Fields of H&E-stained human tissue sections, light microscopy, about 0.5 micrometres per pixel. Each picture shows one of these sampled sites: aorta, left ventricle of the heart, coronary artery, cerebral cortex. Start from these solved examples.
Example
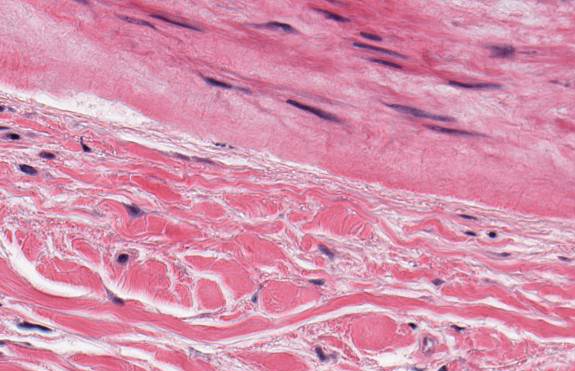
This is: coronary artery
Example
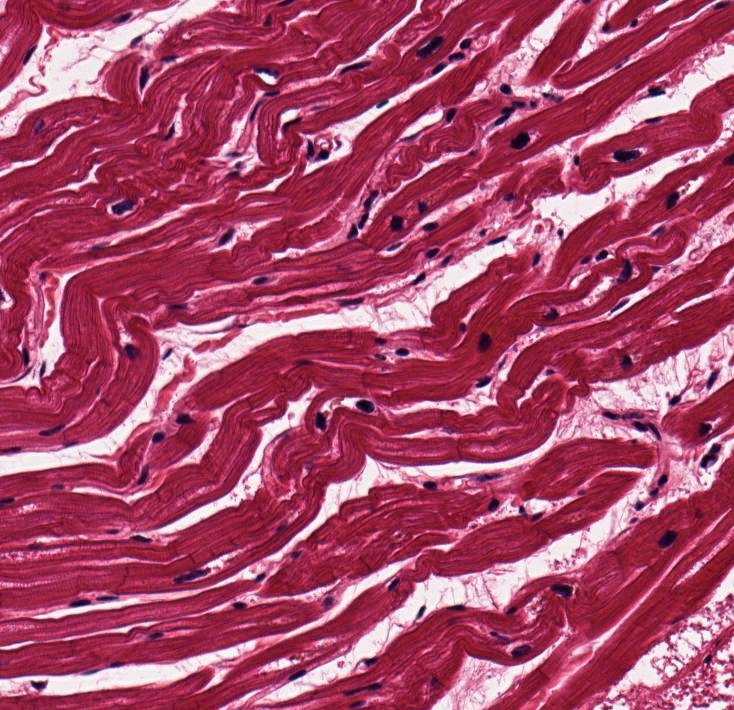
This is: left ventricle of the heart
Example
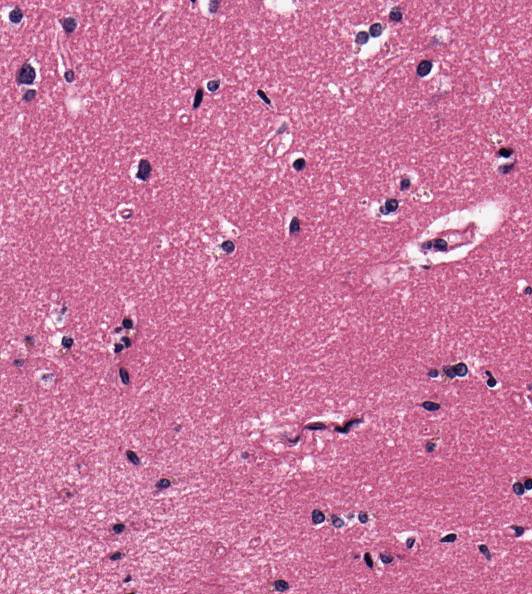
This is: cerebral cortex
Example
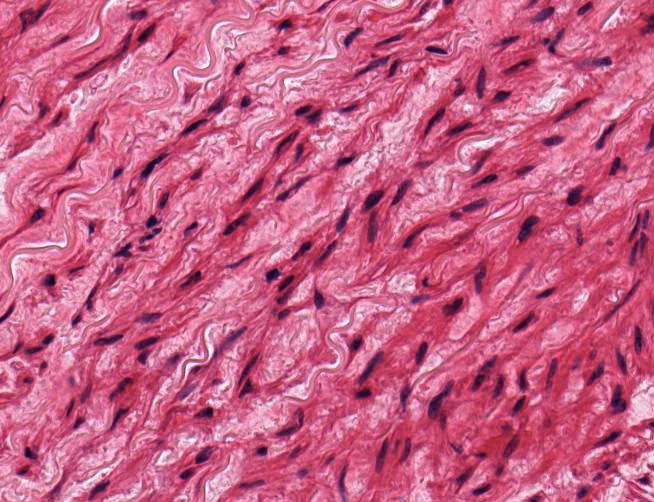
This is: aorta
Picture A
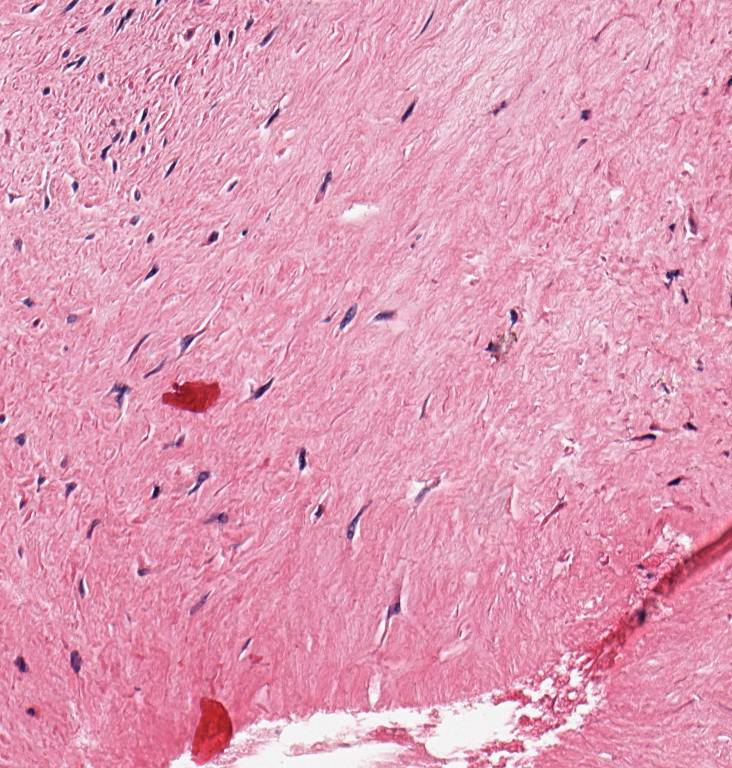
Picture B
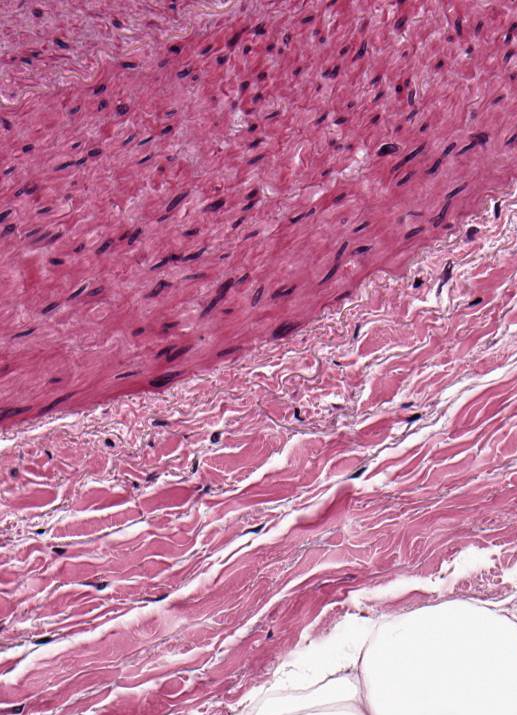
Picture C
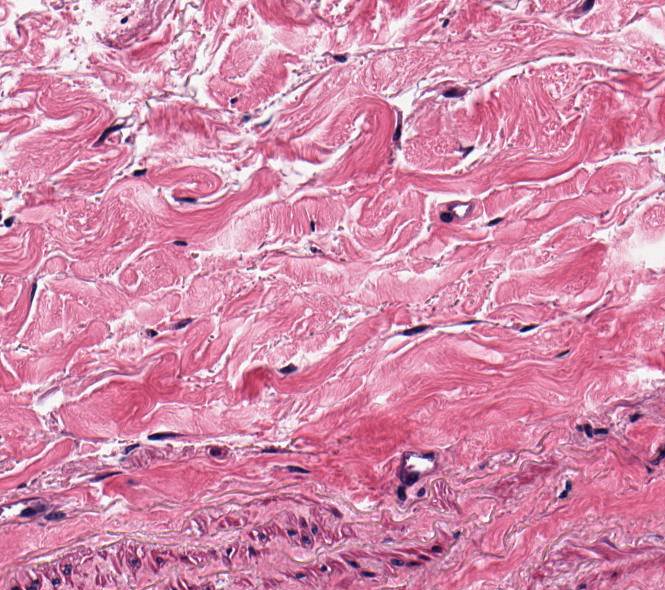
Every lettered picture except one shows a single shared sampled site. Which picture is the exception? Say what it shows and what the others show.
Exception: C, showing aorta. Remaining pictures: coronary artery.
